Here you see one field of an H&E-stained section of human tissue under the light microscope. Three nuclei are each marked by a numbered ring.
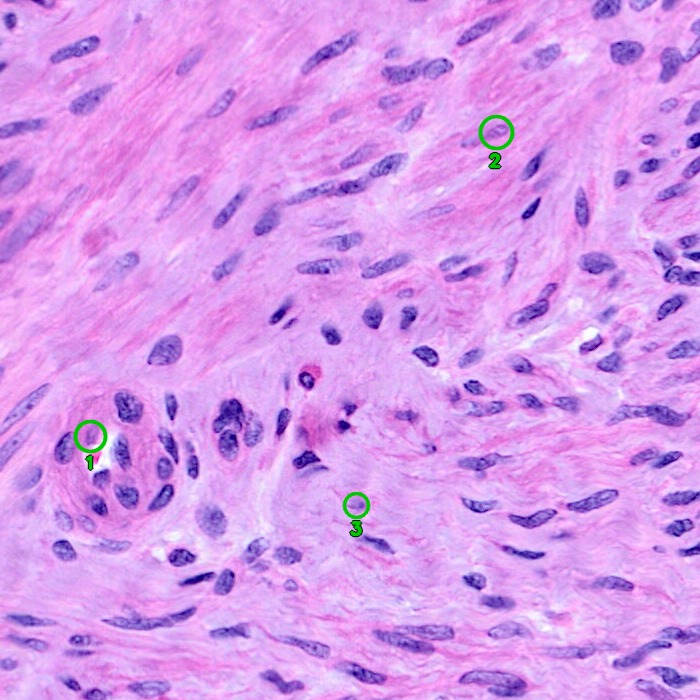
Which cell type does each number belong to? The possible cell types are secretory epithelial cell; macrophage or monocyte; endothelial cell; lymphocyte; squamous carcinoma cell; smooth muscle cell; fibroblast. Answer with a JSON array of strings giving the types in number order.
["endothelial cell", "smooth muscle cell", "smooth muscle cell"]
